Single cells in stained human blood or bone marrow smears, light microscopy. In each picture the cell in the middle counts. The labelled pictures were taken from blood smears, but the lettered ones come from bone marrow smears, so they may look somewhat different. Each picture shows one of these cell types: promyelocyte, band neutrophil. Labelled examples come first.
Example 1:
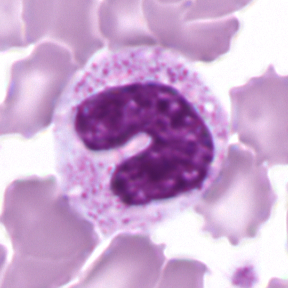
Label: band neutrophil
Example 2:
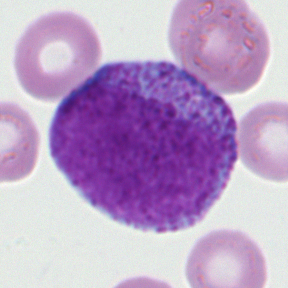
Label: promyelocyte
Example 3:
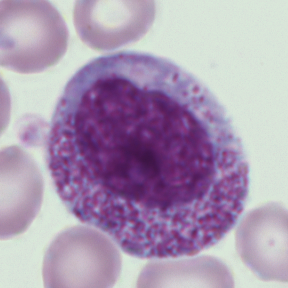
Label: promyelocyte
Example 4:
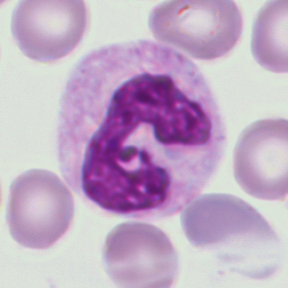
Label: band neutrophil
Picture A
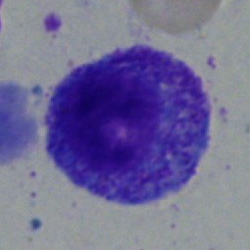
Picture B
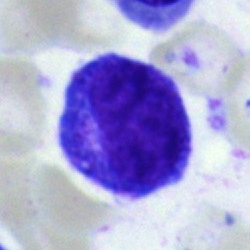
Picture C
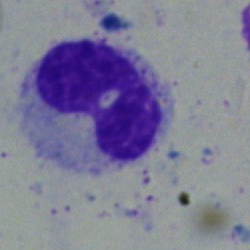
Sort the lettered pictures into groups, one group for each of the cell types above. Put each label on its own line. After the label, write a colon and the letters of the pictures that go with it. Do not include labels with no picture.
promyelocyte: A, B
band neutrophil: C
